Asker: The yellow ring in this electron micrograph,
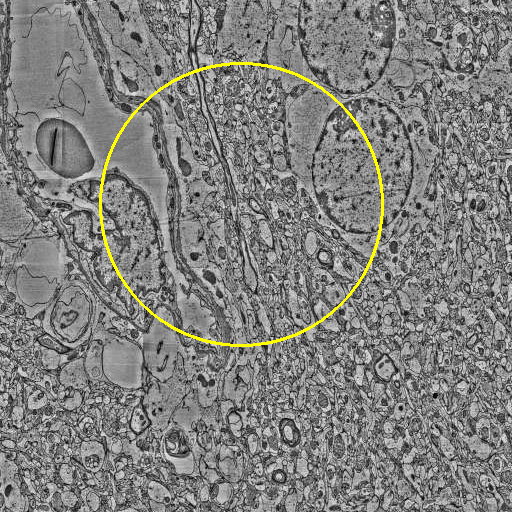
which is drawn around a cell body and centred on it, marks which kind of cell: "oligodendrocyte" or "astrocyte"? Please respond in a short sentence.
The marked cell is an astrocyte.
